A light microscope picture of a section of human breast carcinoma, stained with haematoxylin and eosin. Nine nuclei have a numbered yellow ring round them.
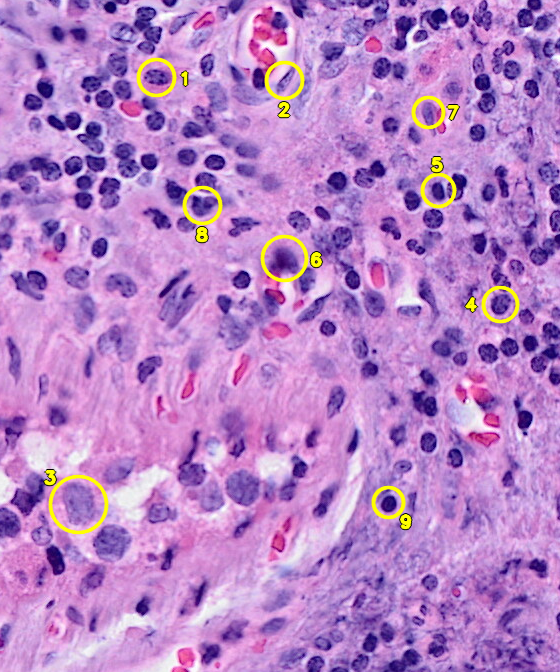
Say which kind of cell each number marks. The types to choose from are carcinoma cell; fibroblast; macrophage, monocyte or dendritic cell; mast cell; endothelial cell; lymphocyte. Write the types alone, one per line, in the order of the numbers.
mast cell
endothelial cell
carcinoma cell
lymphocyte
lymphocyte
endothelial cell
endothelial cell
lymphocyte
lymphocyte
